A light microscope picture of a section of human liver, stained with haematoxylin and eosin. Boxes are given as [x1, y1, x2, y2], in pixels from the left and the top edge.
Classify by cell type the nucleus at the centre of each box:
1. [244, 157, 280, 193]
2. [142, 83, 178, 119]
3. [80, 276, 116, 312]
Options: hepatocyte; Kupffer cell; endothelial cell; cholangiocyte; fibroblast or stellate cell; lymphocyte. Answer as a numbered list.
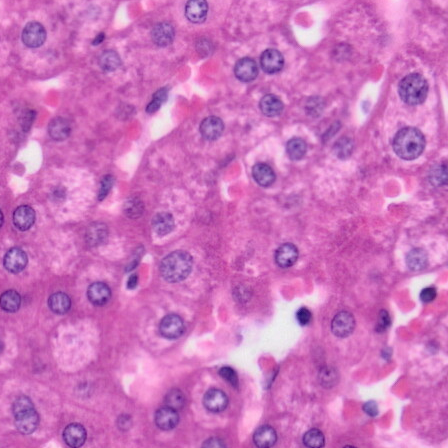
1. hepatocyte
2. Kupffer cell
3. hepatocyte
